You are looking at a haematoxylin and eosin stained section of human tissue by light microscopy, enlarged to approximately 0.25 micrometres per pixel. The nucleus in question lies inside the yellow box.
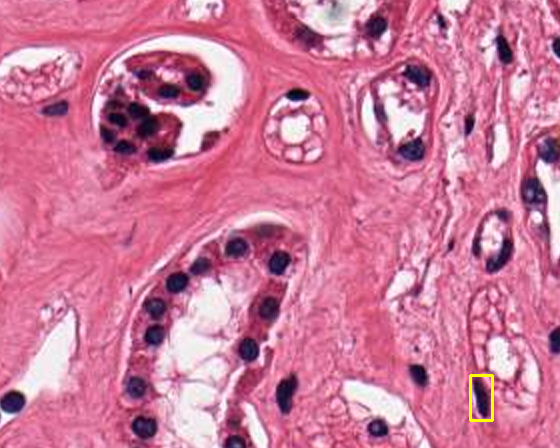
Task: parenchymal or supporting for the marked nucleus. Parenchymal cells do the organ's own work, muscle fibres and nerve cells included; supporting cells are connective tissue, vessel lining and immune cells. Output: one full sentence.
It is in a supporting cell that the marked nucleus lies.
